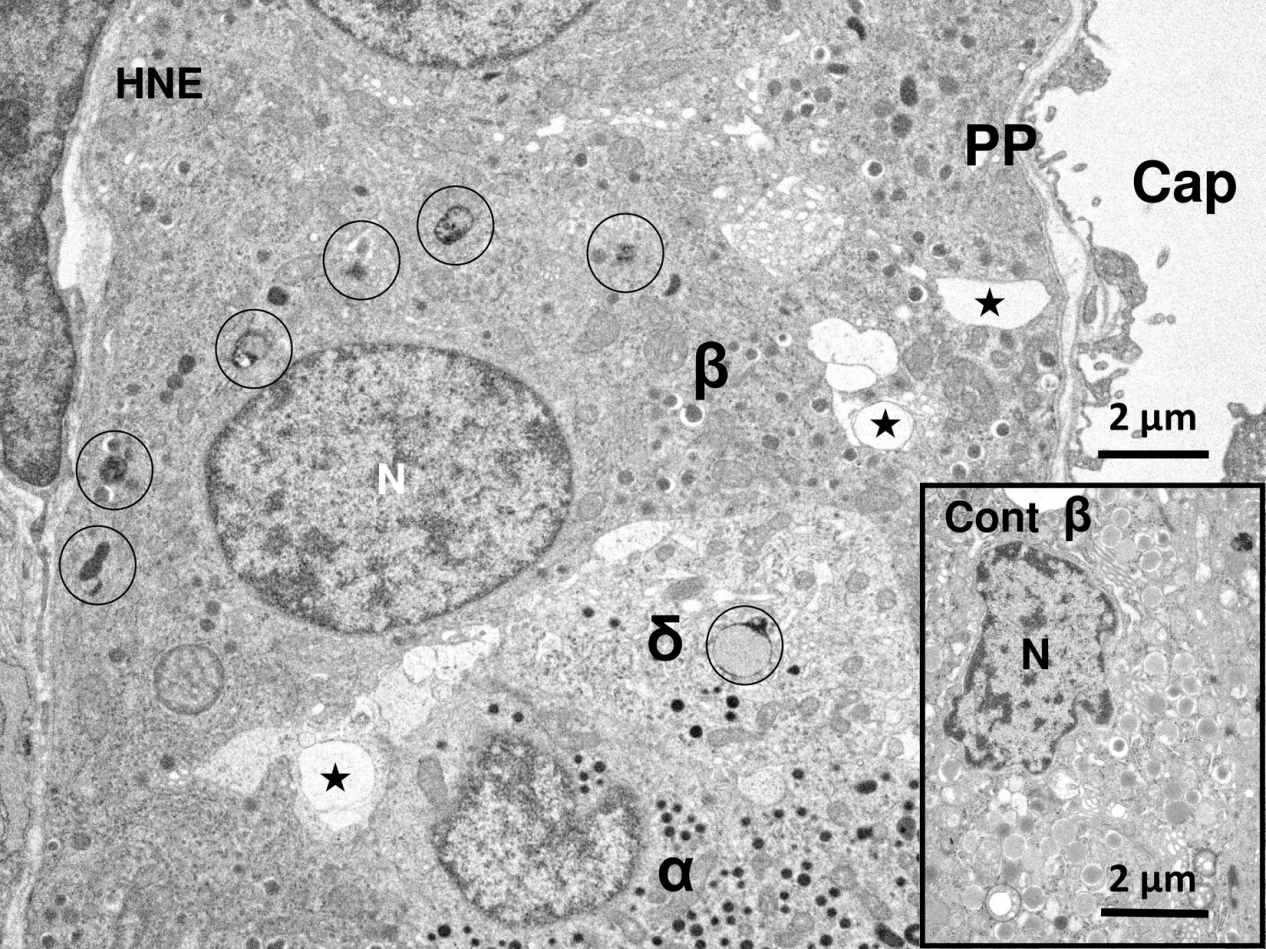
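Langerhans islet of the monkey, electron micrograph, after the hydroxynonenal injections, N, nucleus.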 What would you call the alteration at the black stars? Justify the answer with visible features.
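The pale spaces are bounded by a thin rim and contain little material. So: vacuole formations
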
